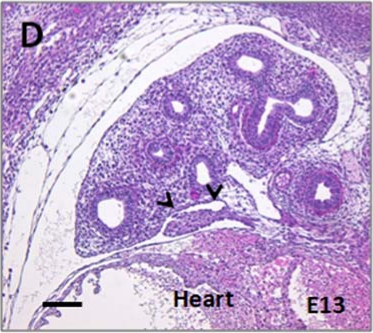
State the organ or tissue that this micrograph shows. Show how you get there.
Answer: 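A lobed organ containing several branching epithelial tubes with open lumens. The tubes are surrounded by densely cellular mesenchyme. The organ is separated from surrounding tissue by a clear space. The answer: lung.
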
